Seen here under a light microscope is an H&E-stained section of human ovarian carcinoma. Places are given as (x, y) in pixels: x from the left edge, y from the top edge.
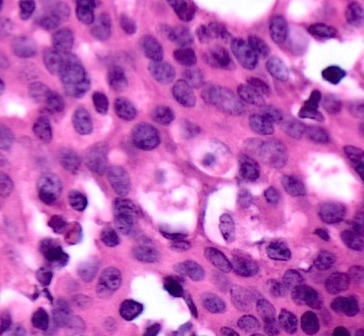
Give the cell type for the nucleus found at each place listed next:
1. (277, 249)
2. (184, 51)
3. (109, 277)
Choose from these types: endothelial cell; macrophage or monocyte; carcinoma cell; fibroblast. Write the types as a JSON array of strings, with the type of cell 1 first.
["macrophage or monocyte", "carcinoma cell", "carcinoma cell"]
